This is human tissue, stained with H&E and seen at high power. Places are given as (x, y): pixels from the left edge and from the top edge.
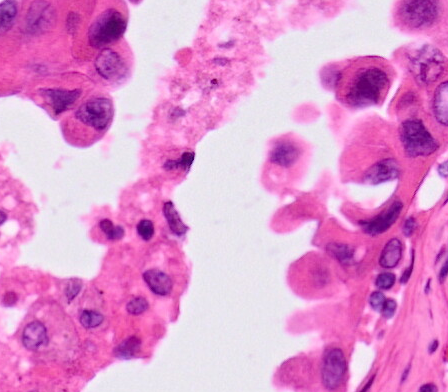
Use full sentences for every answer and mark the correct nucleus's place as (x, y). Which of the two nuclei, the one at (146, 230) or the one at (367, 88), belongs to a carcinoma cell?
Heads up, the nucleus at (367, 88) is the one that belongs to a carcinoma cell.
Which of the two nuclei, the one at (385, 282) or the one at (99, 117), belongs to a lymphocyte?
Lying within a lymphocyte is the nucleus at (385, 282).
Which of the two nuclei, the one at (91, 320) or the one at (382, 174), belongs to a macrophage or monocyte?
The nucleus at (91, 320) is attributed to a macrophage or monocyte, unlike the other nucleus.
